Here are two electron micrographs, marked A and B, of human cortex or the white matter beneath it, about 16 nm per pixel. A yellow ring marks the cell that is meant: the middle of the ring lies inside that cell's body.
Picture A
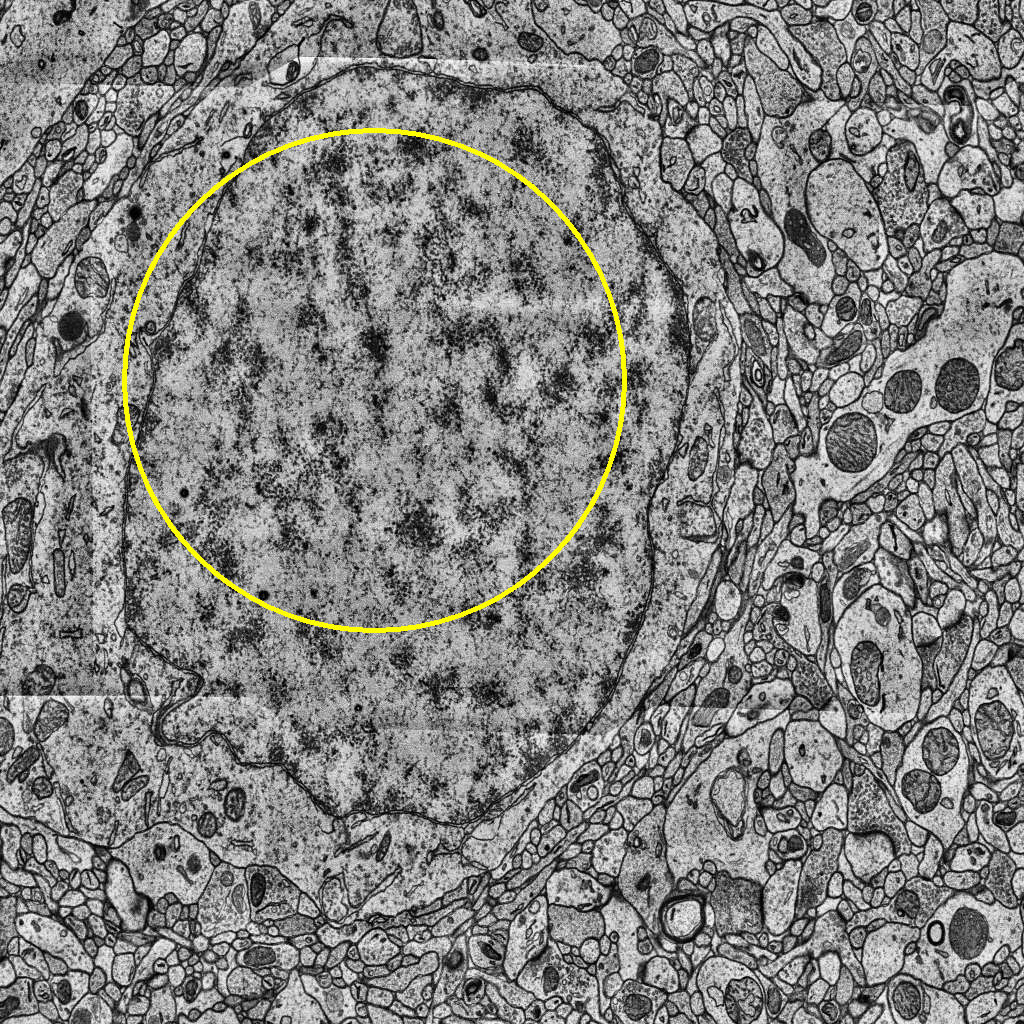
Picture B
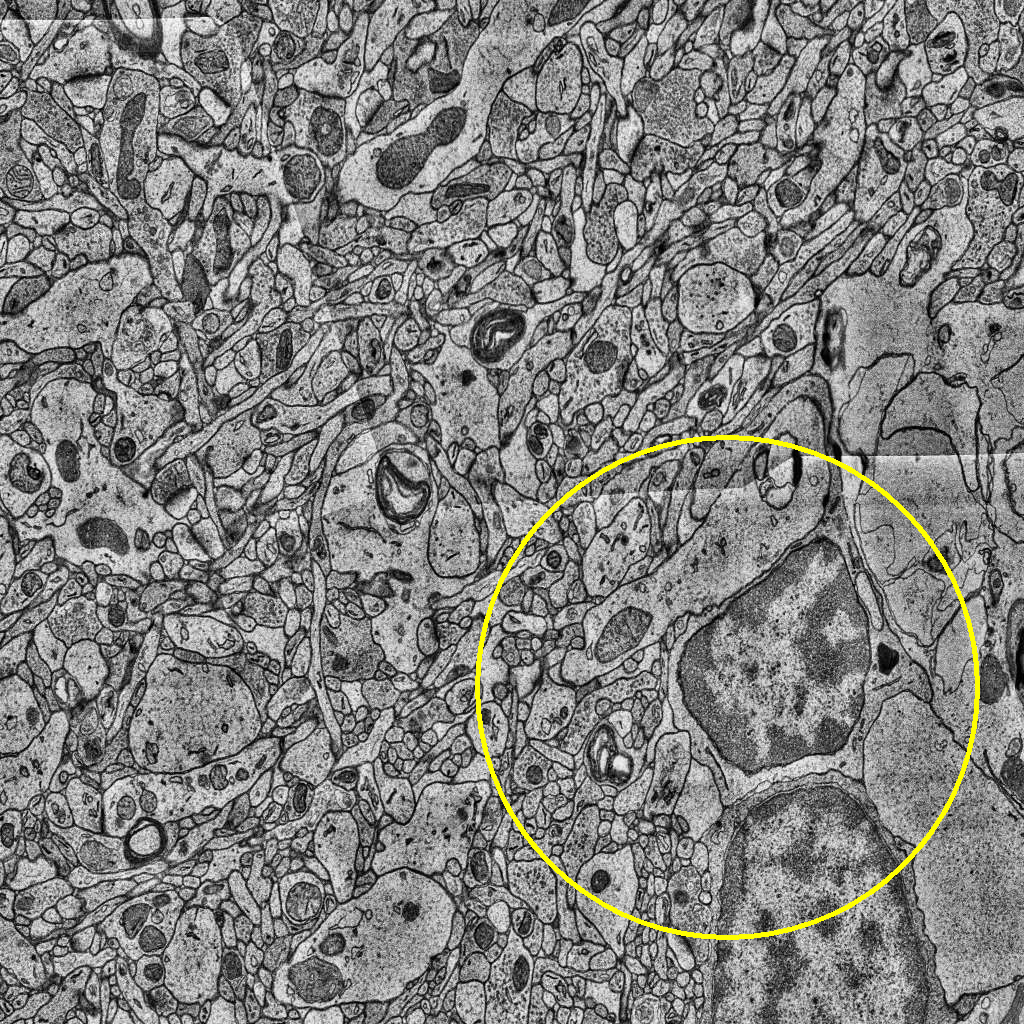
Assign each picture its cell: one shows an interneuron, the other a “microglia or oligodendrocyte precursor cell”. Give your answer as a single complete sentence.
In picture A the cell is an interneuron; in picture B, a “microglia or oligodendrocyte precursor cell”.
